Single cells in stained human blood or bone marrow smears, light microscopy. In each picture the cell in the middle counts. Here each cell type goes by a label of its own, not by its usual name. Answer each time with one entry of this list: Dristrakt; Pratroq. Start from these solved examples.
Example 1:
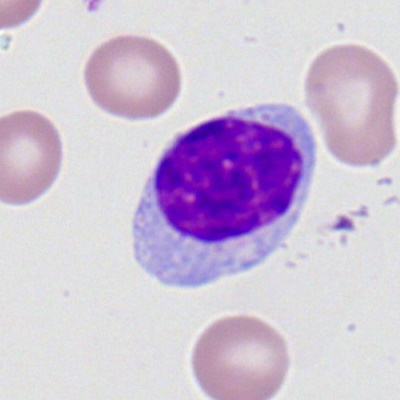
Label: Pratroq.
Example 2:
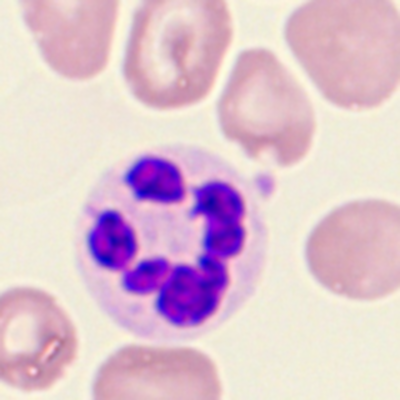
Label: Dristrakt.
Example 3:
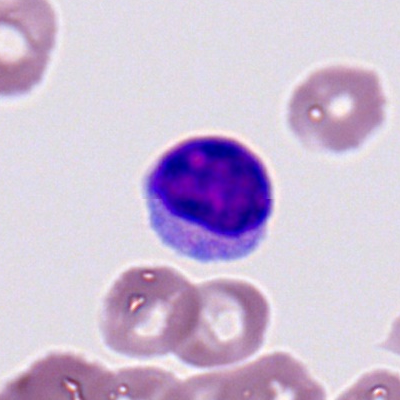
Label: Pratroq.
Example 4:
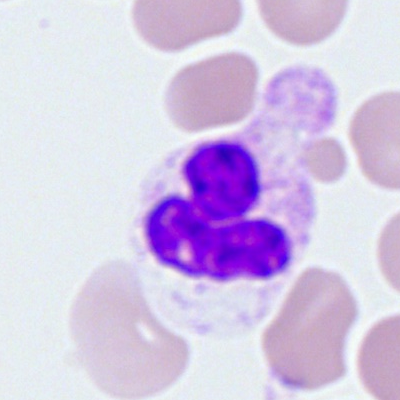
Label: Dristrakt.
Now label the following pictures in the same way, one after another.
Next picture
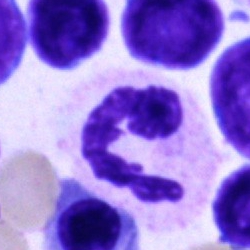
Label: Dristrakt.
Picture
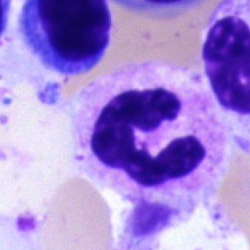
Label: Dristrakt.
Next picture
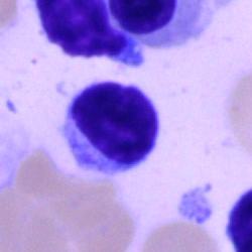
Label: Pratroq.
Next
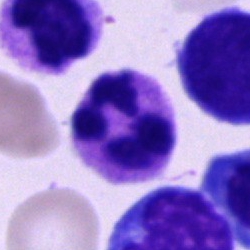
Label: Dristrakt.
